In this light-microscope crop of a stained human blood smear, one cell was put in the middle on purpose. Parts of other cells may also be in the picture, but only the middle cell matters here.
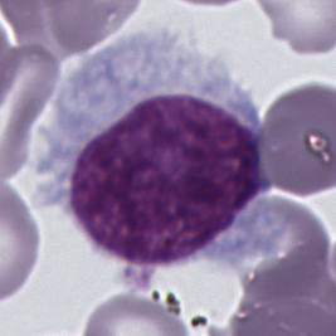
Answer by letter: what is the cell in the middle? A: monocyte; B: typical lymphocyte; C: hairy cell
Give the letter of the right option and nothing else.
C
